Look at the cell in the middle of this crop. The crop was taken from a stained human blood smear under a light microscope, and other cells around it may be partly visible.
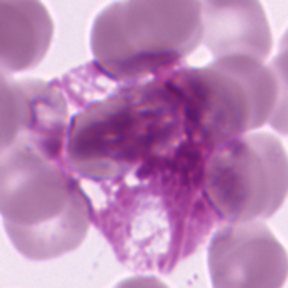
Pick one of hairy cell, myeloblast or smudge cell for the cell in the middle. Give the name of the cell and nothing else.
smudge cell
